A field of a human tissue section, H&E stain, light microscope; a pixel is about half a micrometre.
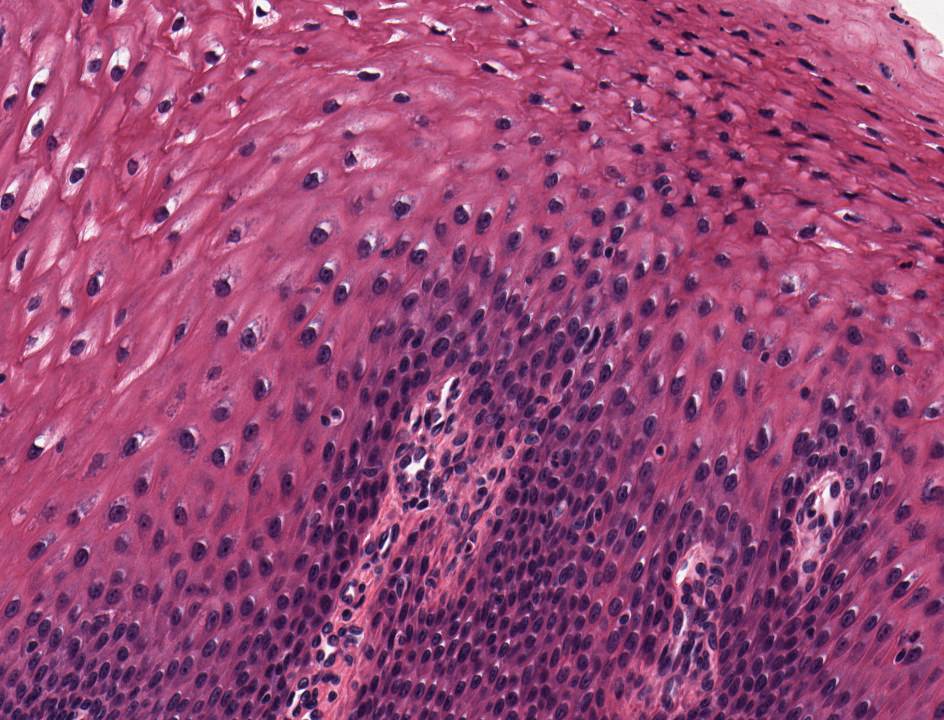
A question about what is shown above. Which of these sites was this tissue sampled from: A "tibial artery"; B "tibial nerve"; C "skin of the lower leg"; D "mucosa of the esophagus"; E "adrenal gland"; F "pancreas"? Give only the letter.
D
